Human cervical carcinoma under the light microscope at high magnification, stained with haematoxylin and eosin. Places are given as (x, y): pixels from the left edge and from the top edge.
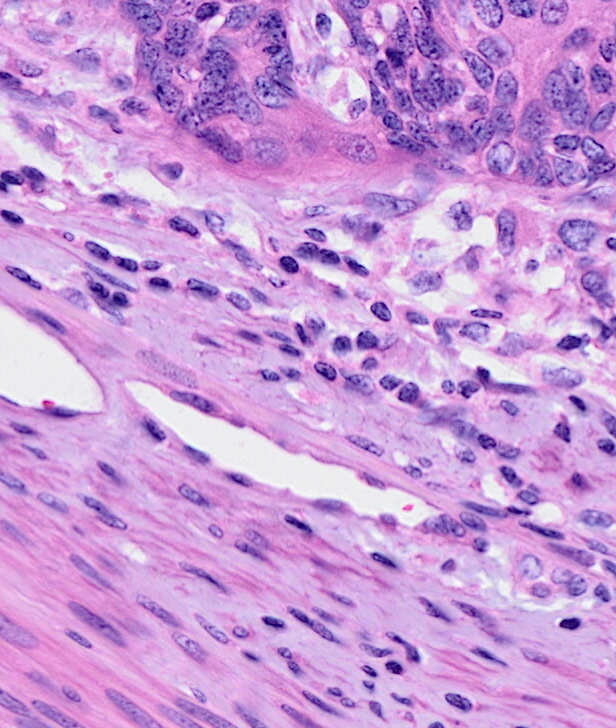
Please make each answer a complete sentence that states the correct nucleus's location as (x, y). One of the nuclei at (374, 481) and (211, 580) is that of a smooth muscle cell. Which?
The nucleus at (211, 580) is the one of the two that belongs to a smooth muscle cell.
